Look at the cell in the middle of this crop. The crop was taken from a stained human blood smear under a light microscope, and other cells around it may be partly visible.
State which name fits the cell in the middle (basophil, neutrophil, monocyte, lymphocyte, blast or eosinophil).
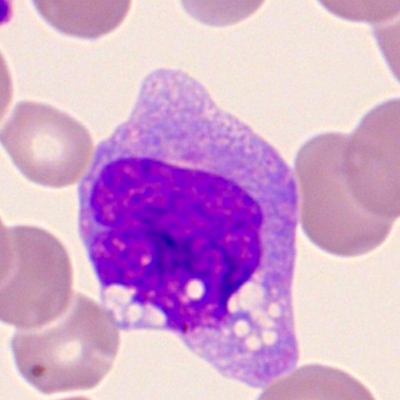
monocyte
